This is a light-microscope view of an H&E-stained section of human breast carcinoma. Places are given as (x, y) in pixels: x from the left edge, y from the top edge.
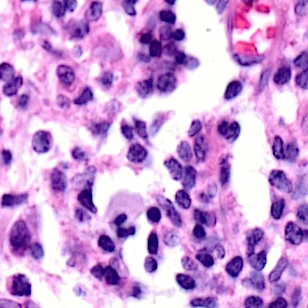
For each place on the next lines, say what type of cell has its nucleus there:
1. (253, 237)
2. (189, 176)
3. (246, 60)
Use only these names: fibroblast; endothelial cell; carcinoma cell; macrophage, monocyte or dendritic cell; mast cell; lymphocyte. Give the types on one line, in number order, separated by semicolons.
lymphocyte; lymphocyte; endothelial cell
